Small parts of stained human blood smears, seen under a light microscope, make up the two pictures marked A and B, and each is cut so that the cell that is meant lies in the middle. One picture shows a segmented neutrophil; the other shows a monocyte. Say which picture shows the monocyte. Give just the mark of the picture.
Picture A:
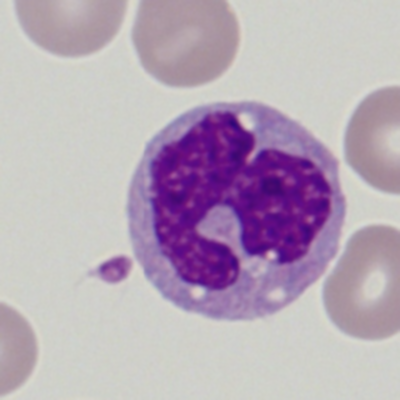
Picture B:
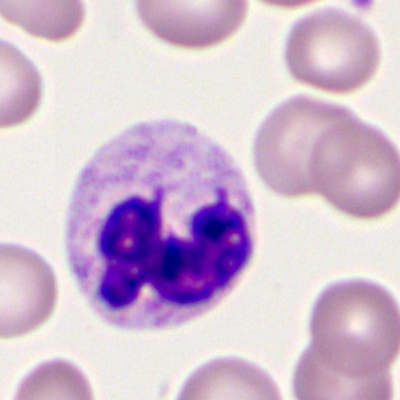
A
